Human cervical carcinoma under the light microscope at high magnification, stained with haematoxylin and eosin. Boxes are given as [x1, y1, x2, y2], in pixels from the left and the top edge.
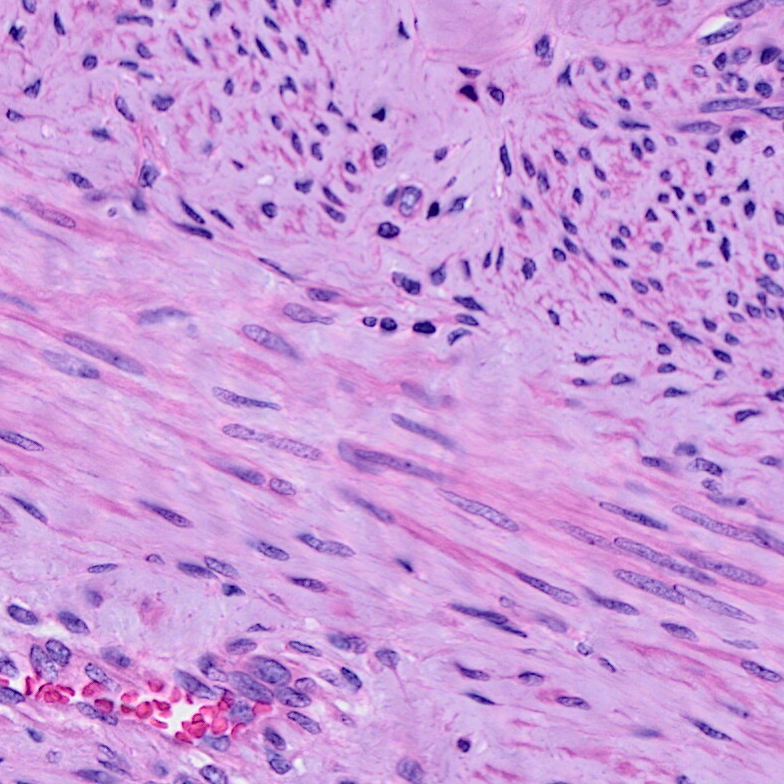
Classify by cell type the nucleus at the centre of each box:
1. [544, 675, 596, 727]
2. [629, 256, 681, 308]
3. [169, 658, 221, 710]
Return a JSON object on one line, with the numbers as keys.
{"1": "smooth muscle cell", "2": "smooth muscle cell", "3": "endothelial cell"}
